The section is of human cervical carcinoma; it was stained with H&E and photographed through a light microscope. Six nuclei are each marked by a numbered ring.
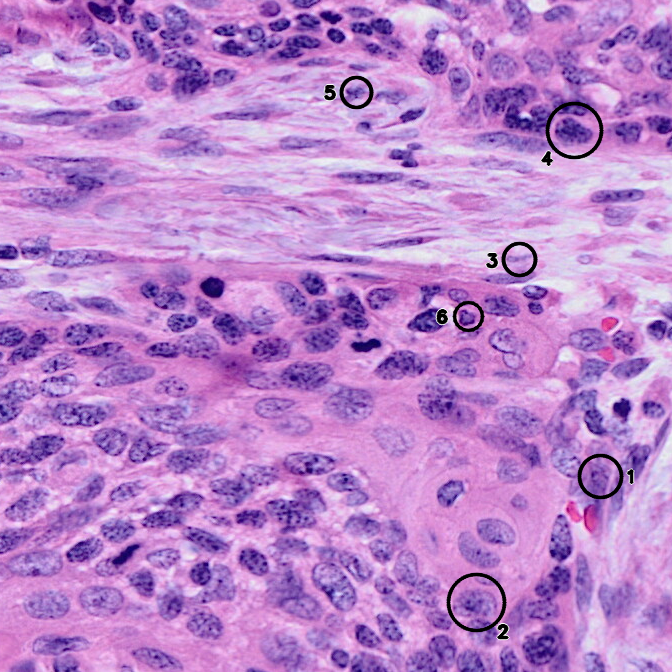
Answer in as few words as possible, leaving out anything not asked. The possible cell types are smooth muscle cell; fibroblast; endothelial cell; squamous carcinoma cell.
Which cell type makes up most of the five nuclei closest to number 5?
fibroblast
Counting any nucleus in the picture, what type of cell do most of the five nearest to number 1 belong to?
endothelial cell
